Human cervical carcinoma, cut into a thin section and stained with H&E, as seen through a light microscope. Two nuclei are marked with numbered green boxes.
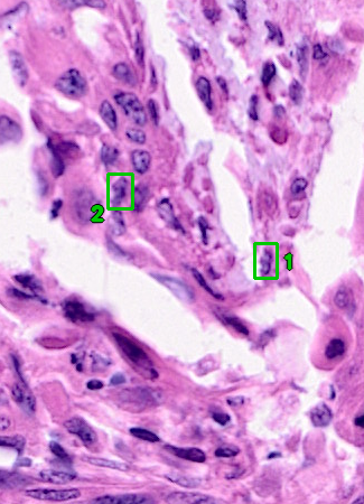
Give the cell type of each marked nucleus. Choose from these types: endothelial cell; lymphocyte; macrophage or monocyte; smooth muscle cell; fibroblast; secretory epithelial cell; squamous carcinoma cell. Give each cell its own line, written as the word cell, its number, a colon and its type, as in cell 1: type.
cell 1: fibroblast
cell 2: squamous carcinoma cell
